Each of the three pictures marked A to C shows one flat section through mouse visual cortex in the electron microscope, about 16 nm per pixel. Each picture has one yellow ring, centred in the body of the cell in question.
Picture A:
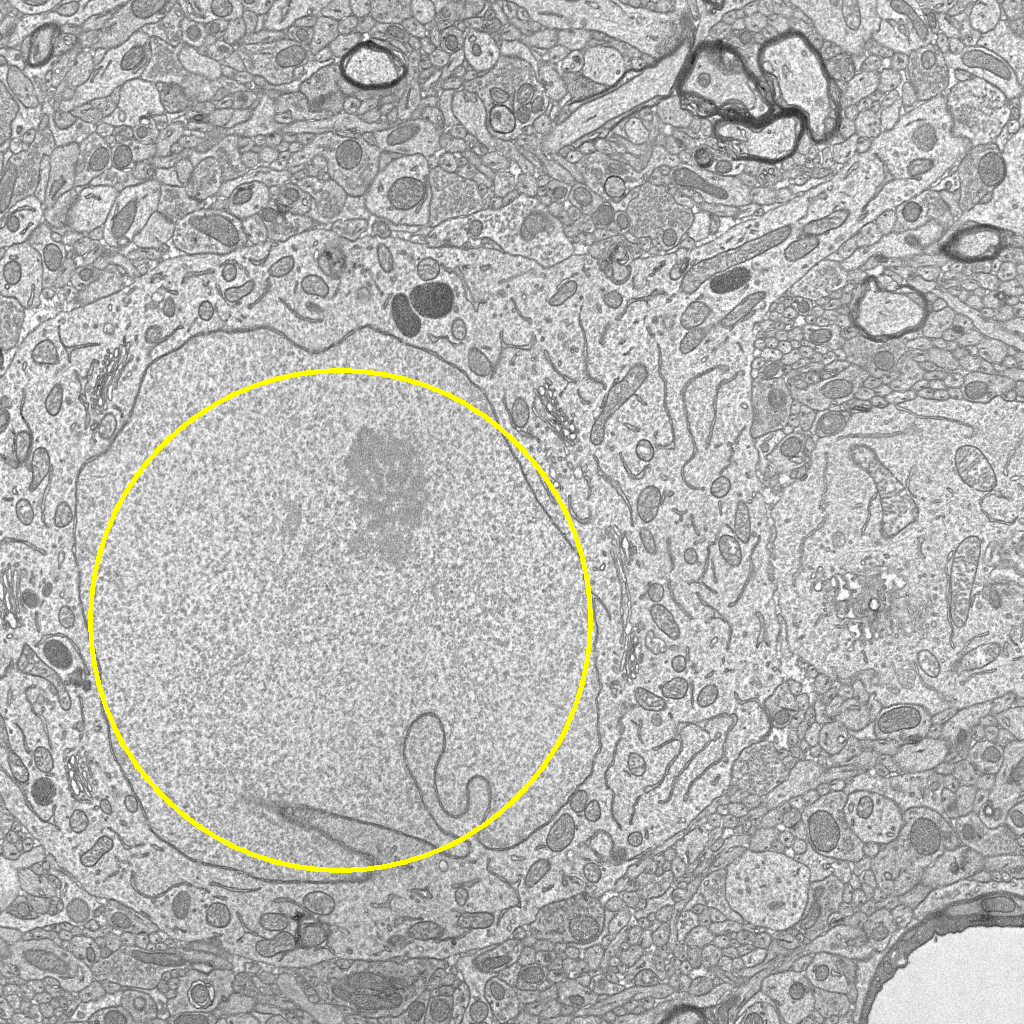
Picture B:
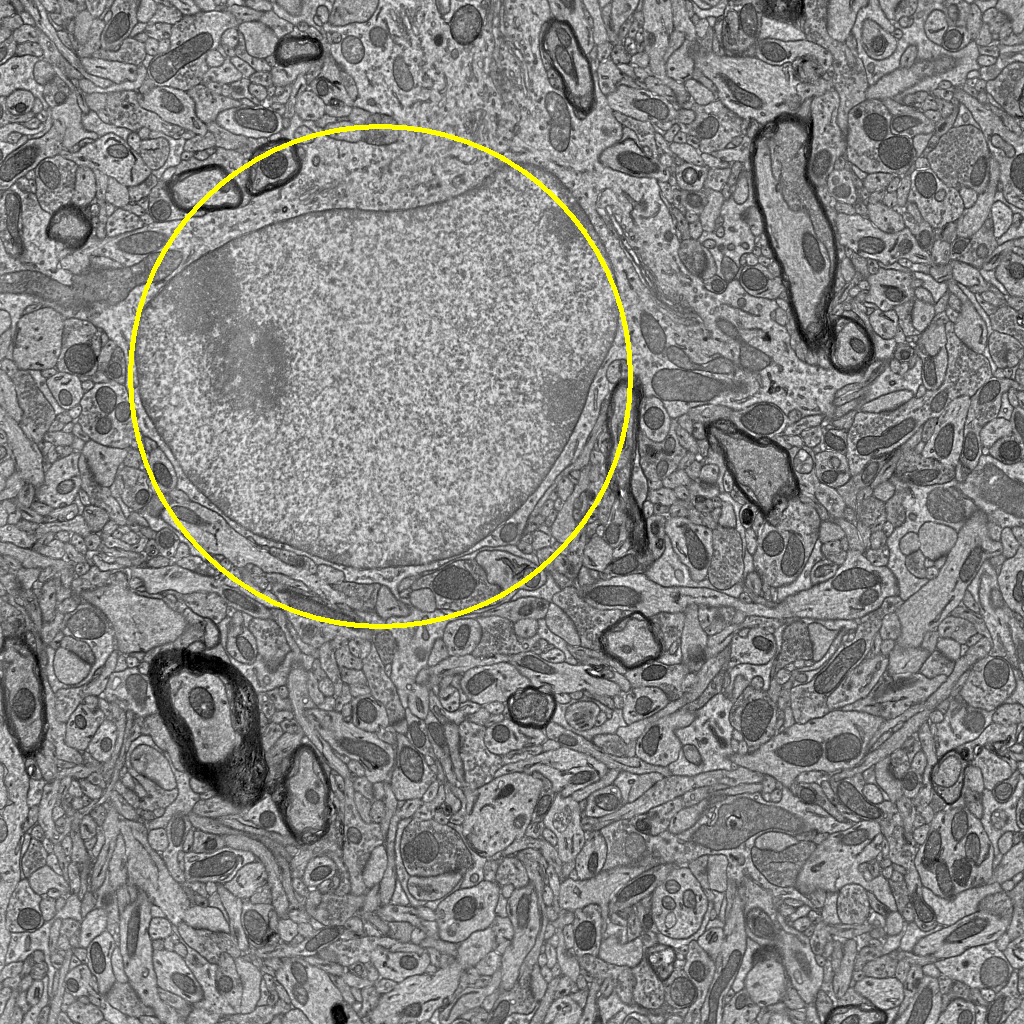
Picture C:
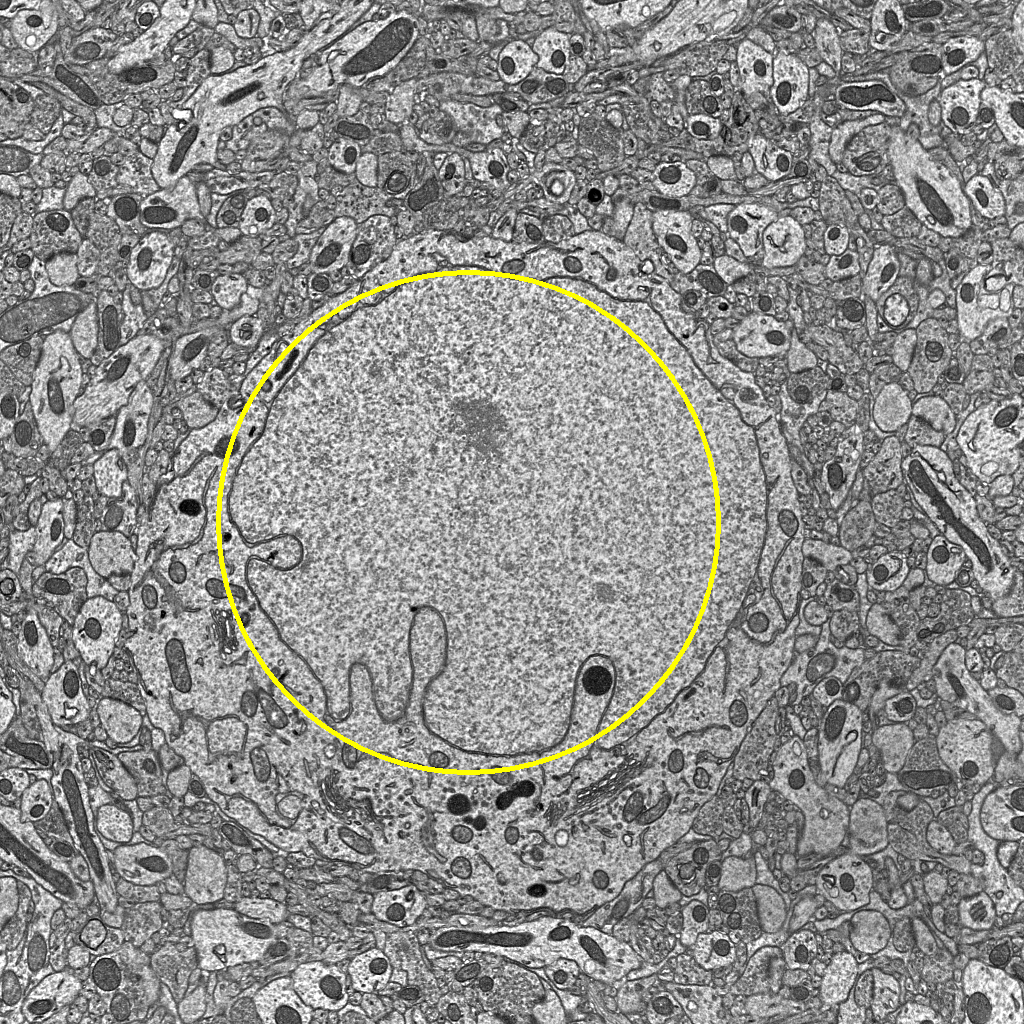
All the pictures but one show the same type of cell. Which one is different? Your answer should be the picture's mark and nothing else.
B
